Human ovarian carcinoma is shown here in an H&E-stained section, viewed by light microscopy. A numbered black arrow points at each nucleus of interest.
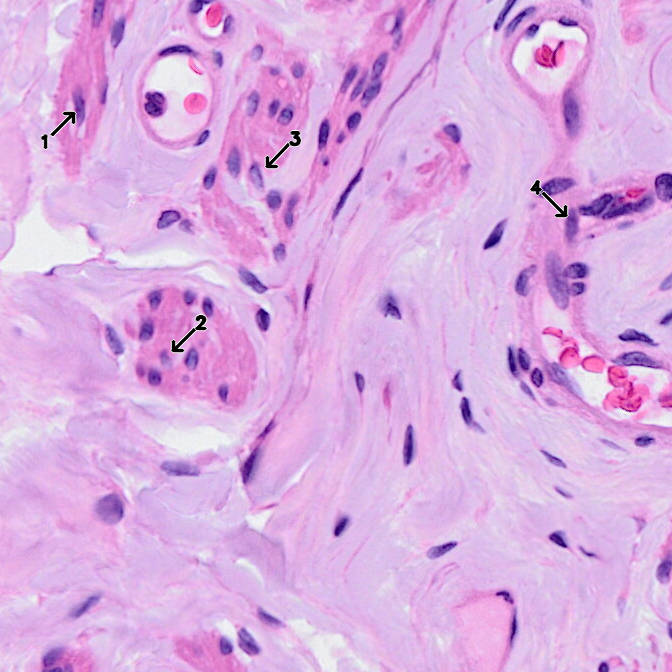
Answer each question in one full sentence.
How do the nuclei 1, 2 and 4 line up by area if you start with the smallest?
By area, going up from the smallest, they rank 2, 1, 4.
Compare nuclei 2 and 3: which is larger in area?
Nucleus 3 covers more area, about 2 times as much as nucleus 2.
